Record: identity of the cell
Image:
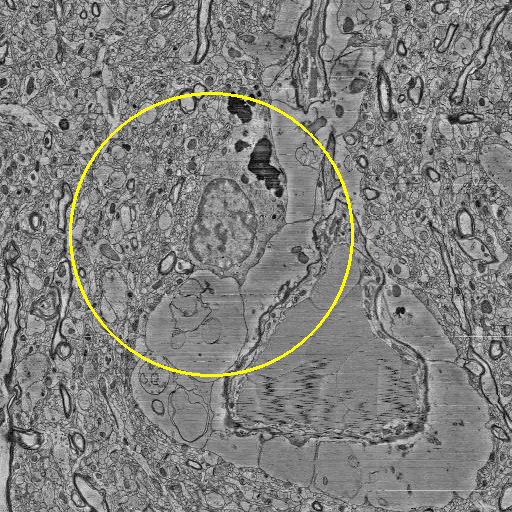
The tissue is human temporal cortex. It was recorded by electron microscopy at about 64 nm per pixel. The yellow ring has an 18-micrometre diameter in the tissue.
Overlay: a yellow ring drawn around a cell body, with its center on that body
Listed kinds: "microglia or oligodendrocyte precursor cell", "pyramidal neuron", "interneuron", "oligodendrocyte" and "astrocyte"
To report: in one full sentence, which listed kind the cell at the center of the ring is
In the image, the cell body at the ring's center belongs to an oligodendrocyte.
